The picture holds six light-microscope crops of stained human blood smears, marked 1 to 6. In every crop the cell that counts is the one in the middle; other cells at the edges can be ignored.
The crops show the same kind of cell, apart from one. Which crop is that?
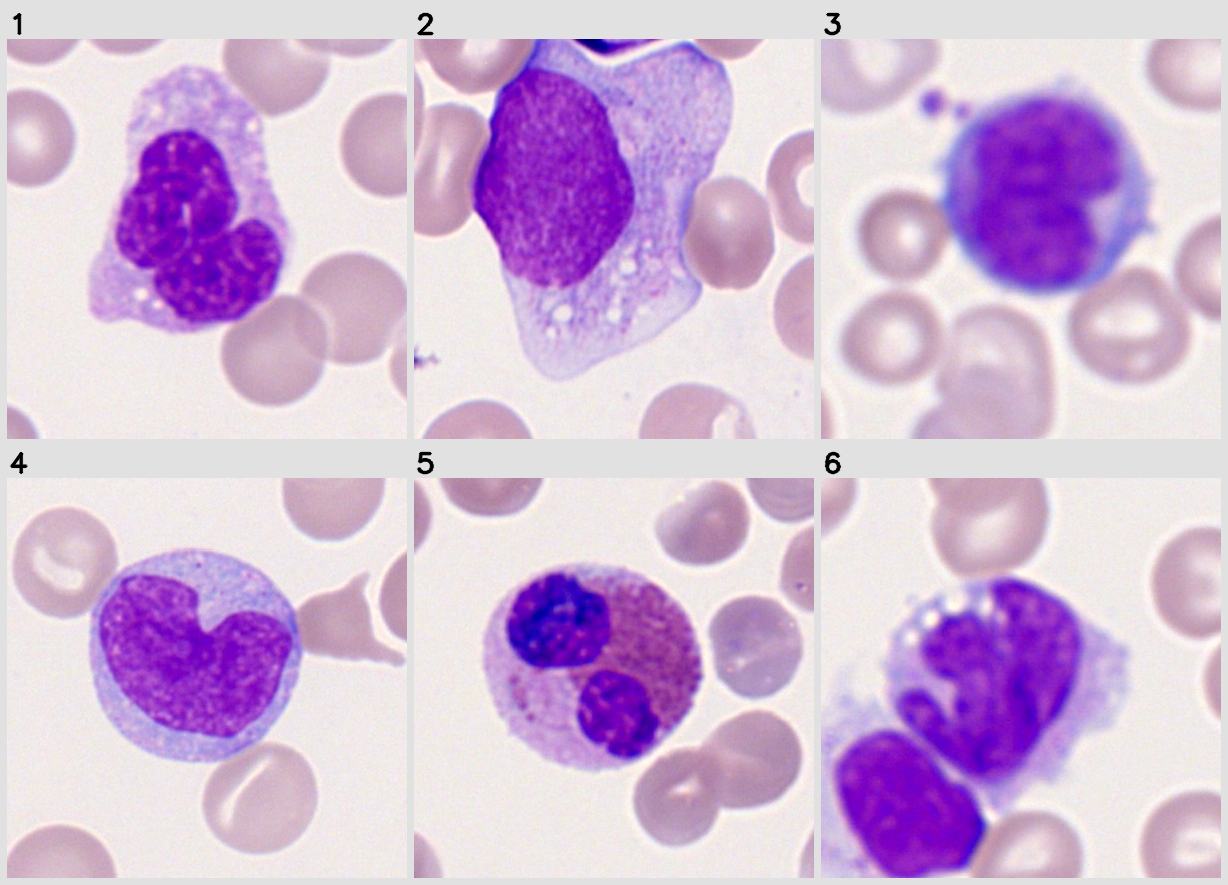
5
